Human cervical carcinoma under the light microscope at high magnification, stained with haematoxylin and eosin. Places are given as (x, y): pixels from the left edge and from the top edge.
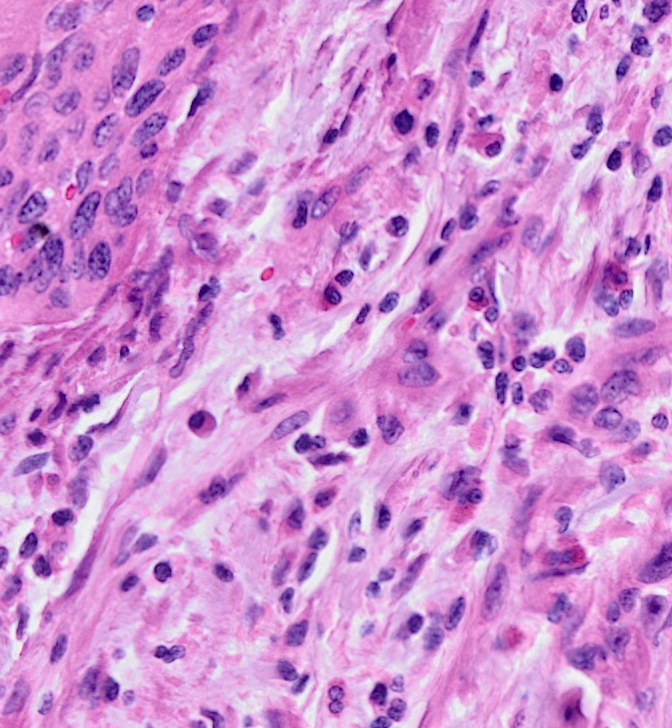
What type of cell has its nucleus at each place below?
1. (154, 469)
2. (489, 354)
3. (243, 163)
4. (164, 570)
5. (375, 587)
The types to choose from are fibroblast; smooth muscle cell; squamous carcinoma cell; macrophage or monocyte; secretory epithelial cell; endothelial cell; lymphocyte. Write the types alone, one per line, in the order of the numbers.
fibroblast
lymphocyte
fibroblast
lymphocyte
lymphocyte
